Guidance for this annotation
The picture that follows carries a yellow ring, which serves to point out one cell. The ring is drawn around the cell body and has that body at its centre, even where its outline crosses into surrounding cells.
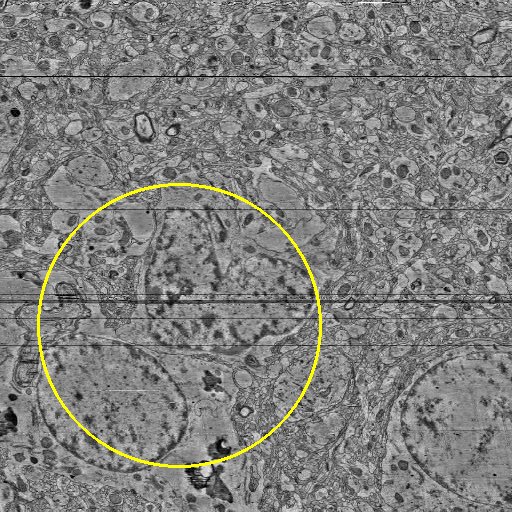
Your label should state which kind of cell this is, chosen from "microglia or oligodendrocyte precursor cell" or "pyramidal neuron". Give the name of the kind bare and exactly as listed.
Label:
microglia or oligodendrocyte precursor cell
